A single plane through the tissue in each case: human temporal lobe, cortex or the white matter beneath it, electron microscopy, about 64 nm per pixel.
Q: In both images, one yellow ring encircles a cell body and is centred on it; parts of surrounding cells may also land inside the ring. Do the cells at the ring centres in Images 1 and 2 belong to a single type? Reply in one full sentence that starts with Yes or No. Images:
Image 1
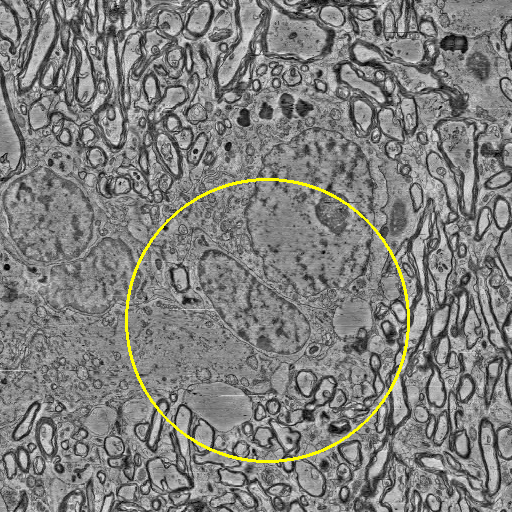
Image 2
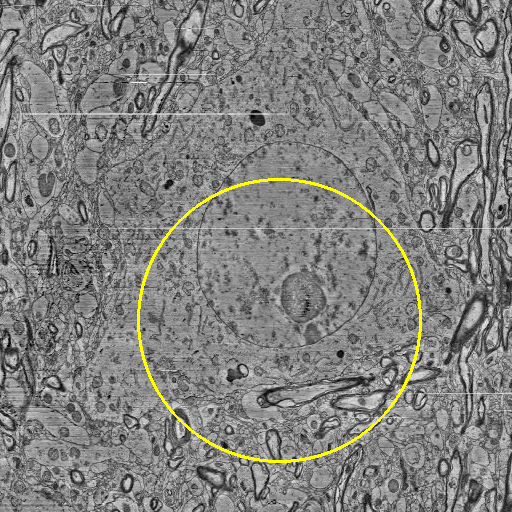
No, the cells at the ring centres in Images 1 and 2 are of two types.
